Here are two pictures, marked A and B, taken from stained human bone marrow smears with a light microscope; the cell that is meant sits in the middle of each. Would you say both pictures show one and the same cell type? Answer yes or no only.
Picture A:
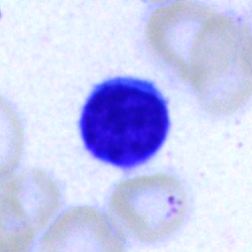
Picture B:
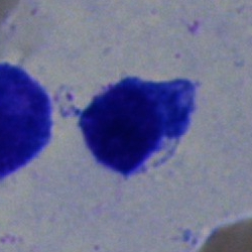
yes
